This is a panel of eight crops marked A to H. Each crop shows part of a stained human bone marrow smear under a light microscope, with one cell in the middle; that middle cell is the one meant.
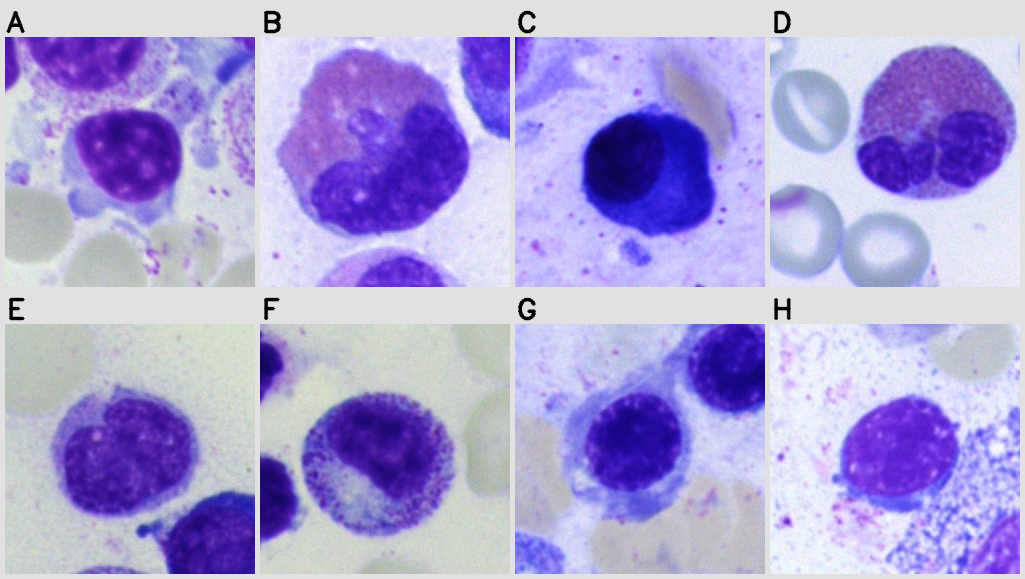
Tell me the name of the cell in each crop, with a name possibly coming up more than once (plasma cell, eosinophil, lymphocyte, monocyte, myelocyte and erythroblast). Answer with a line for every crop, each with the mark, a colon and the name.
A: lymphocyte
B: eosinophil
C: plasma cell
D: eosinophil
E: monocyte
F: myelocyte
G: erythroblast
H: lymphocyte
